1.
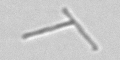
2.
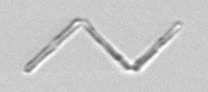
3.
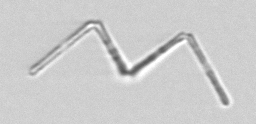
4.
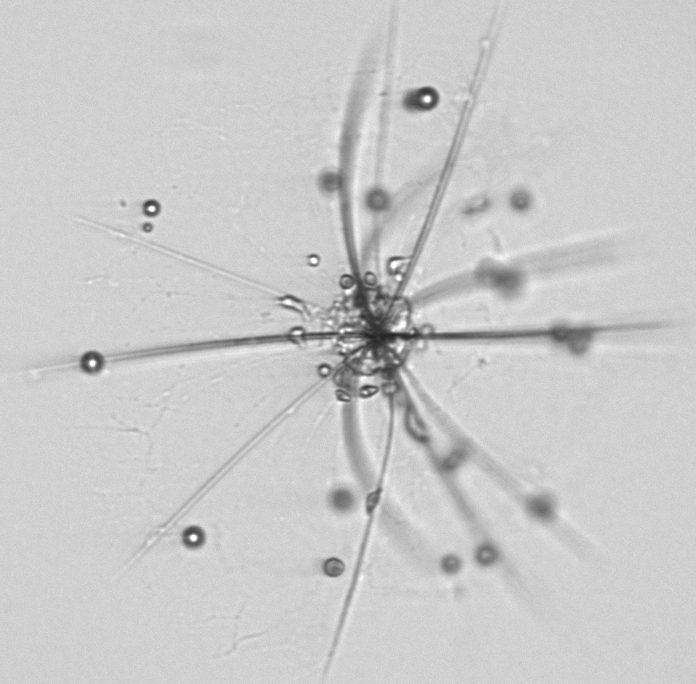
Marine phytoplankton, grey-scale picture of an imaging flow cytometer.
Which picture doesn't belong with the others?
Picture 4.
